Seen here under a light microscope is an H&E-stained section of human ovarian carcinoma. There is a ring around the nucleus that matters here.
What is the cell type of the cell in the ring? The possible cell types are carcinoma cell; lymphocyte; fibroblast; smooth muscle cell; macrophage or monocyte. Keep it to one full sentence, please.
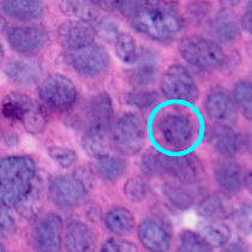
The cell type represented by the cell in the ring is that of a carcinoma cell.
